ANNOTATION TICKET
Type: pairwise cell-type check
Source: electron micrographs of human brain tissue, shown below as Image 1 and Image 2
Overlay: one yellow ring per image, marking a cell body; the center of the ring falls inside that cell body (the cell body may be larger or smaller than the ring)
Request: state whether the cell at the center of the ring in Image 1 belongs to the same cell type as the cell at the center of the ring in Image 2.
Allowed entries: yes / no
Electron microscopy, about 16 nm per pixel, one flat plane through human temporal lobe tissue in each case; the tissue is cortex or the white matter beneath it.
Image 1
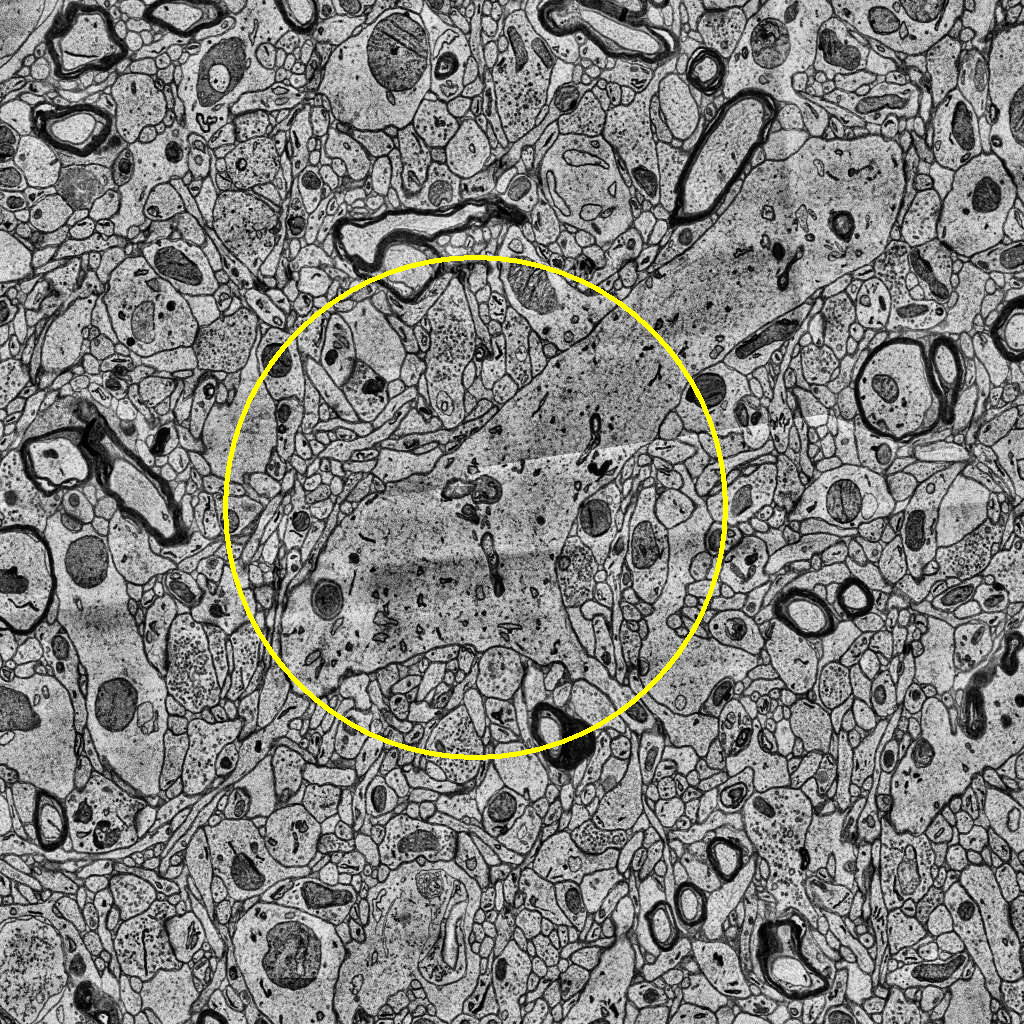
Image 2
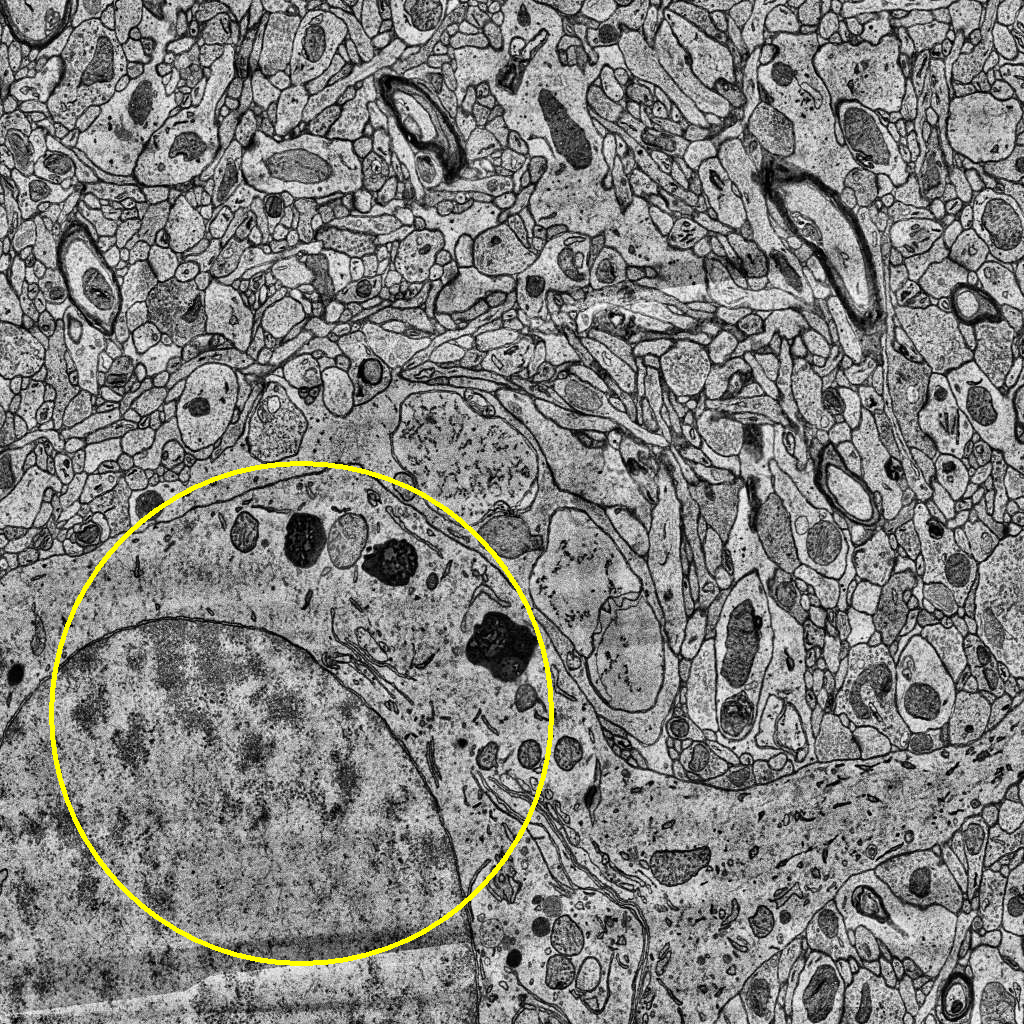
no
